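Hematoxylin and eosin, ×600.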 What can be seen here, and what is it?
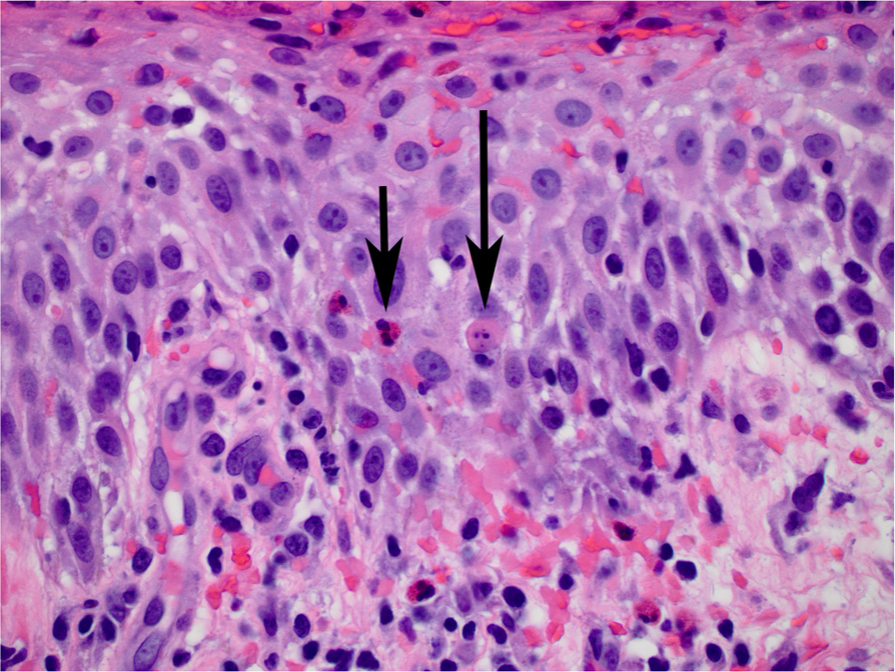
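This is stratified squamous epidermis made of keratinocytes with oval, pale-purple nuclei, small nucleoli and pink cytoplasm, with clear spaces widening the gaps between many of the cells. Scattered among the keratinocytes are cells with bright red granular cytoplasm and lobed nuclei, and one shrunken round cell has glassy pink cytoplasm and only a few dark nuclear dots. Below the epidermis lies a loose dermis with many red blood cells and small dark inflammatory cells, some of them also red-granular. Together this shows eosinophilic spongiosis, with eosinophils within spongiotic epidermis, and a necrotic or apoptotic keratinocyte.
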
